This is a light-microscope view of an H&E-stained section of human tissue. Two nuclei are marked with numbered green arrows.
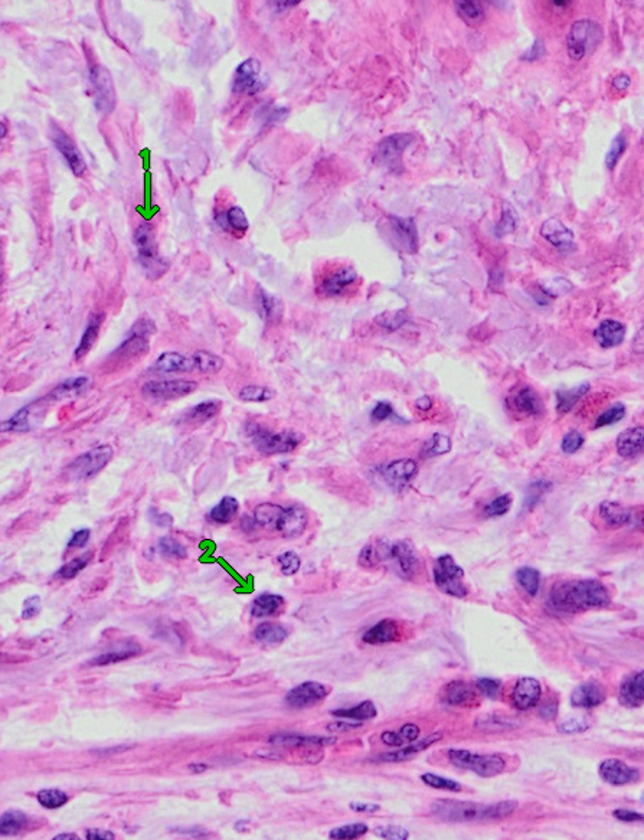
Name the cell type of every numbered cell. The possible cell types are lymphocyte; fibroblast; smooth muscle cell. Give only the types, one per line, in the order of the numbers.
fibroblast
lymphocyte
